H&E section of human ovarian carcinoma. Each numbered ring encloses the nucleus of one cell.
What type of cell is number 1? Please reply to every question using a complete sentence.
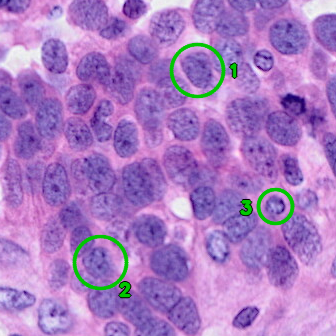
The cell indicated by marker 1 is a carcinoma cell in this section.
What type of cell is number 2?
Cell 2 should be recorded as a carcinoma cell.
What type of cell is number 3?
The cell bearing label 3 corresponds to a macrophage or monocyte.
